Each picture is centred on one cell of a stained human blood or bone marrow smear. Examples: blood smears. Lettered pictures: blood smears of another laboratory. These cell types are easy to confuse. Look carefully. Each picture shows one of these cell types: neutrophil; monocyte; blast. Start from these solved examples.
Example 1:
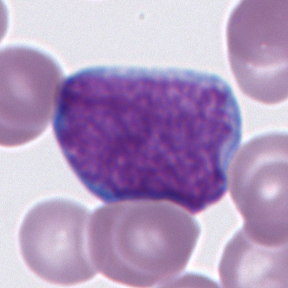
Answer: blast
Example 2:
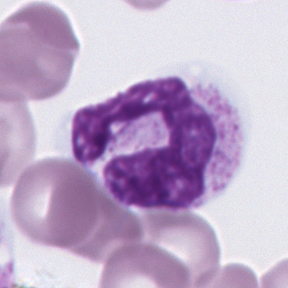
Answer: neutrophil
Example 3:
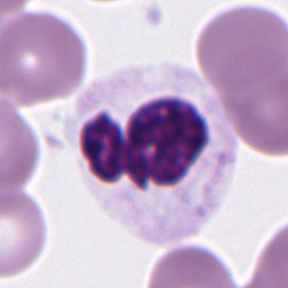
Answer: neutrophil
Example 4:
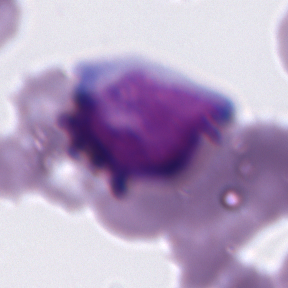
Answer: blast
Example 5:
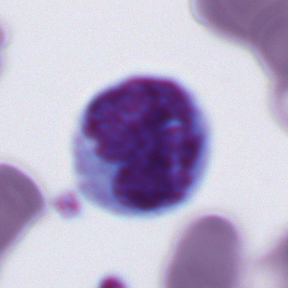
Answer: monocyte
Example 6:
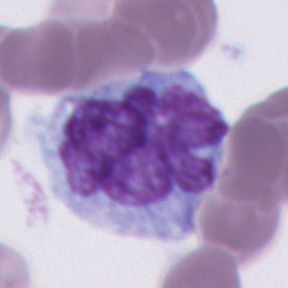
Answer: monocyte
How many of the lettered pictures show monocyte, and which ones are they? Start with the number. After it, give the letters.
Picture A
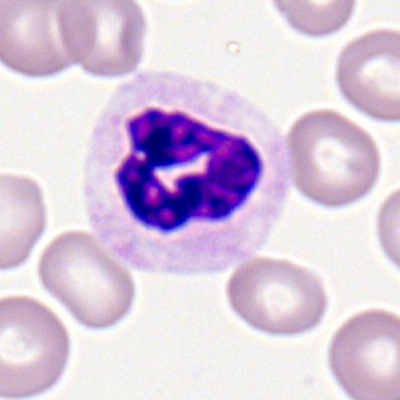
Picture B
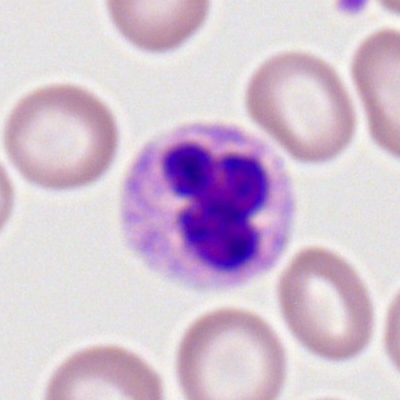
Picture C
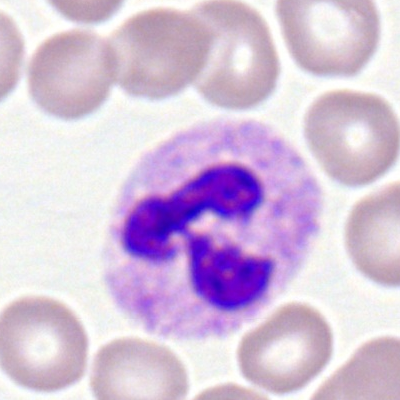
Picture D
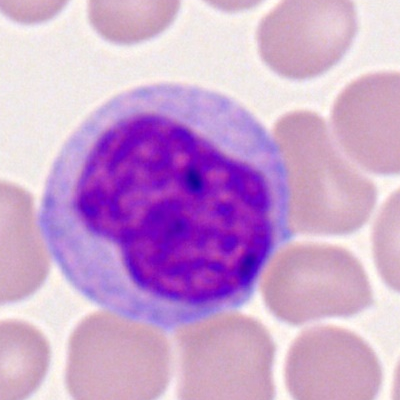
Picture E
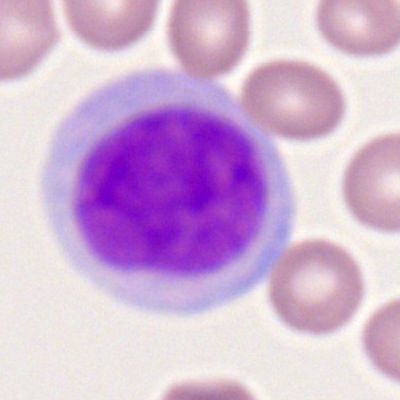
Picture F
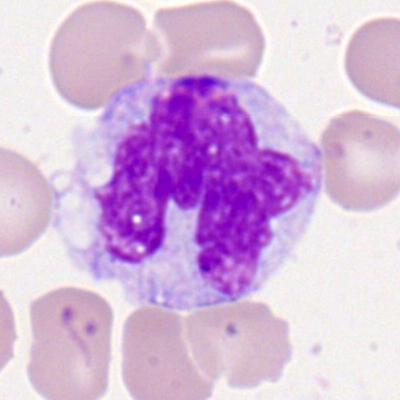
Count: 2 (D, F)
